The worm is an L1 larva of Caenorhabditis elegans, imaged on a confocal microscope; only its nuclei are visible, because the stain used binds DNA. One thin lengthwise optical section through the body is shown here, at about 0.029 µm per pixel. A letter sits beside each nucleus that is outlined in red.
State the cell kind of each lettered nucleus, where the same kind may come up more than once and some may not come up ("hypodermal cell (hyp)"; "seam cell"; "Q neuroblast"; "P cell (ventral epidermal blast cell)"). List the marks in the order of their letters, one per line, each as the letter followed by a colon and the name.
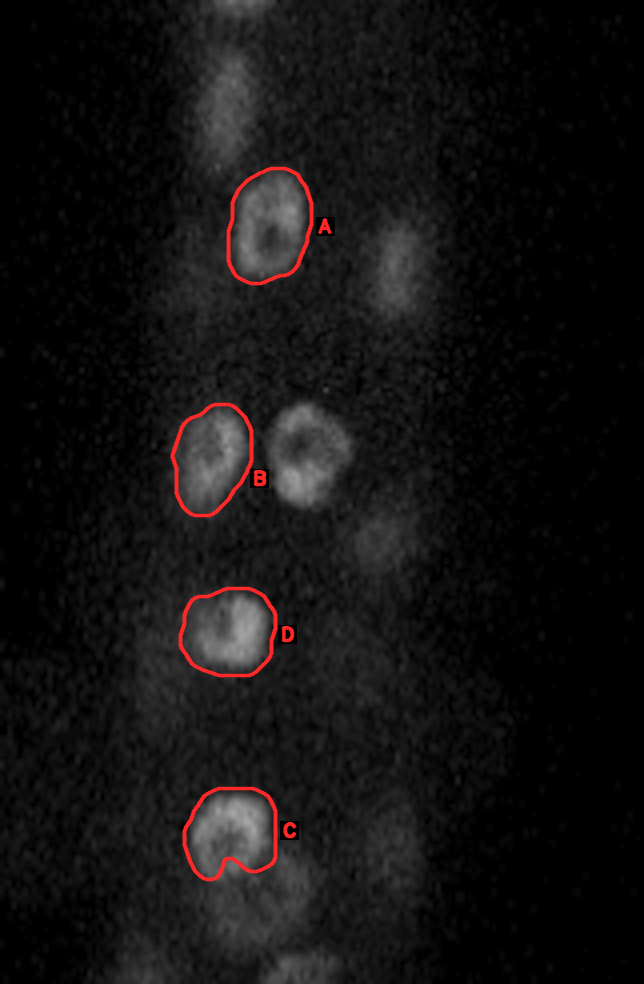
A: seam cell
B: P cell (ventral epidermal blast cell)
C: Q neuroblast
D: seam cell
